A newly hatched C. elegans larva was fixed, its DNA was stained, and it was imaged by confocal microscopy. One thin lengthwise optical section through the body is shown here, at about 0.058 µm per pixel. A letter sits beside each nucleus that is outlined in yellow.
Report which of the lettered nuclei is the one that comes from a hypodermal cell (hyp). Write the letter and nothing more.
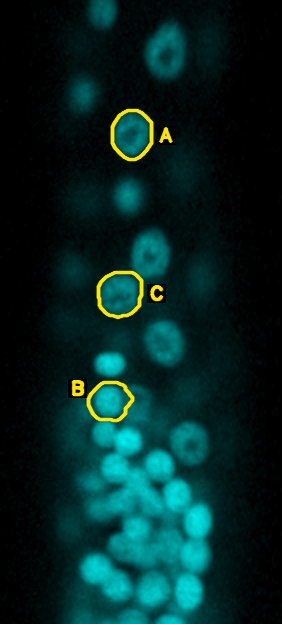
C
